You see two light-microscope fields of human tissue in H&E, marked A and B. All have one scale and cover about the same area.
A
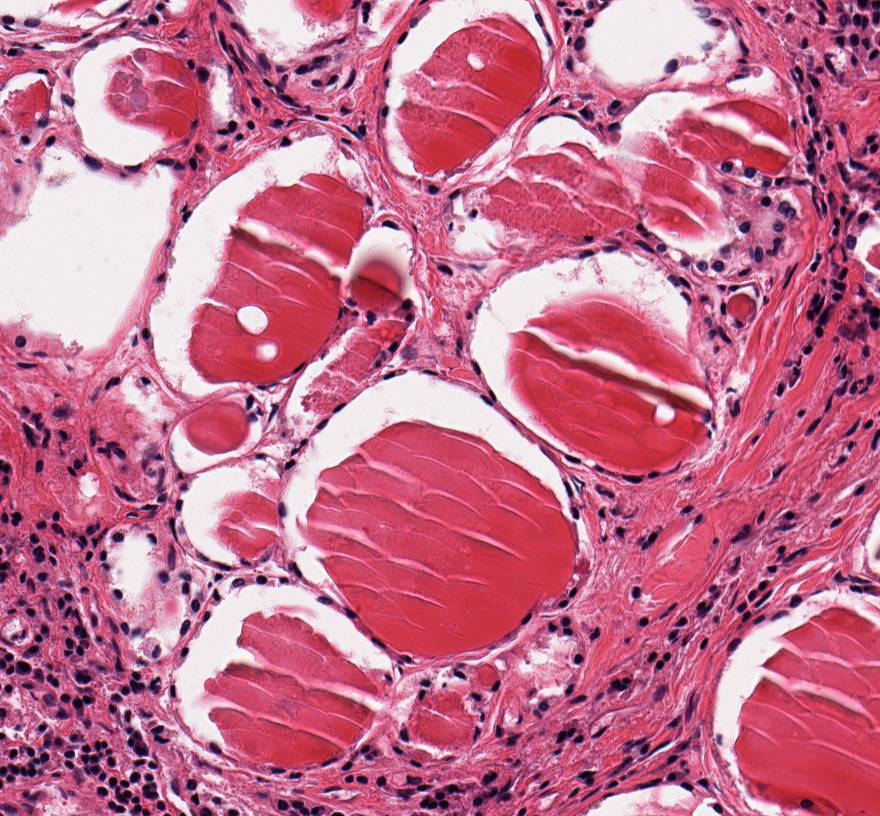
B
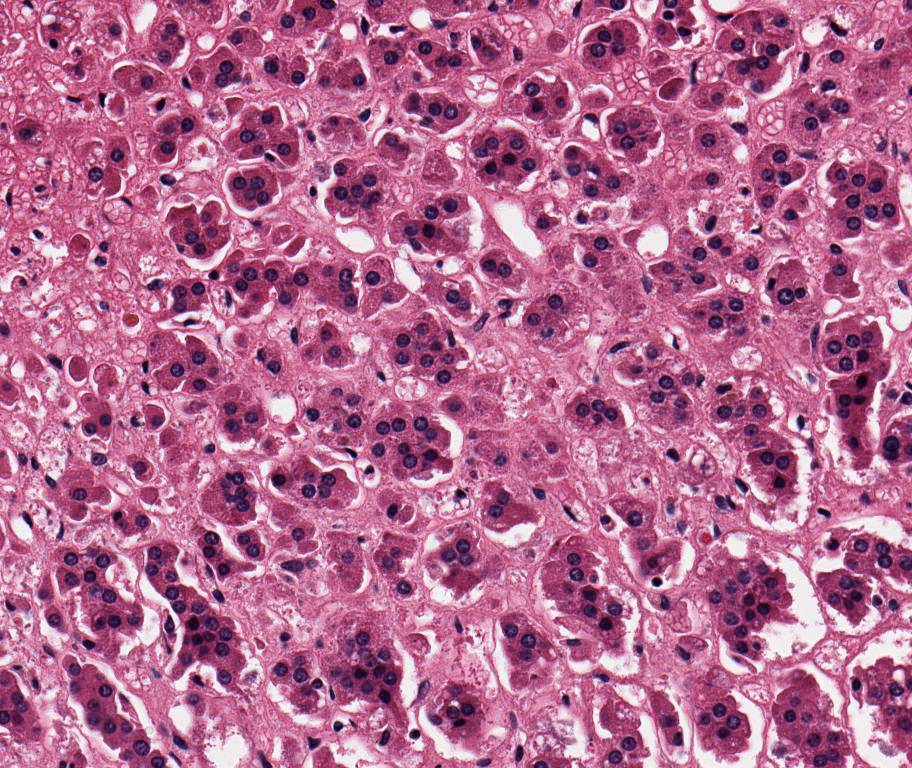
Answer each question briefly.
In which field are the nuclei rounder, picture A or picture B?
B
